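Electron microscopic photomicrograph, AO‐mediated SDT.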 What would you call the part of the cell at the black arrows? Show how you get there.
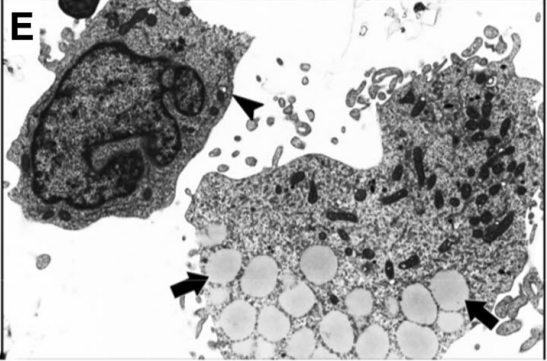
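The black arrows point to a cluster of large round pale bodies in the cytoplasm. The bodies have homogeneous grey contents without internal structure.
Conclusion: lipid droplets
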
